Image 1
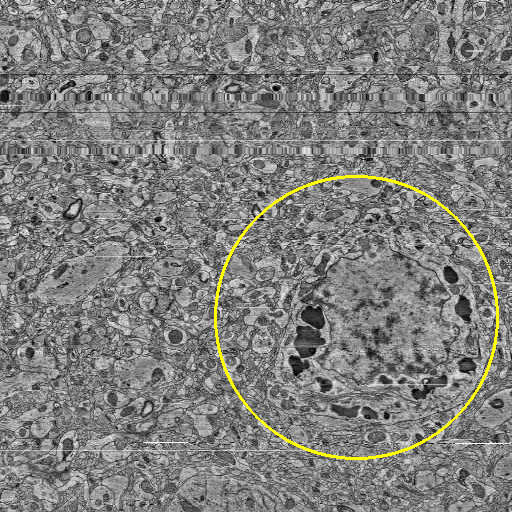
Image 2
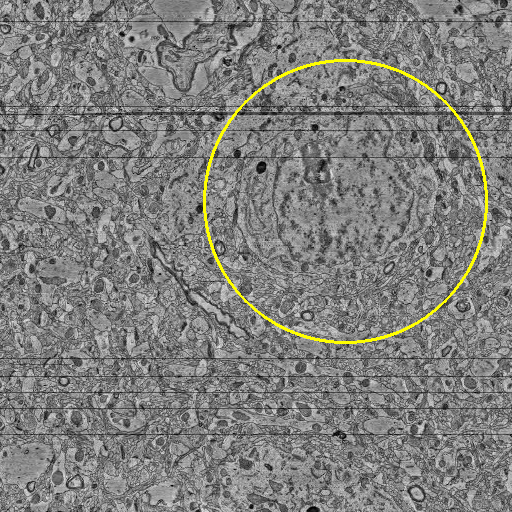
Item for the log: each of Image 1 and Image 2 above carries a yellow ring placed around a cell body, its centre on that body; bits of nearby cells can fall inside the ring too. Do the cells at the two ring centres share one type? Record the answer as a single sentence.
Yes, the two cells at the ring centres in Image 1 and Image 2 share one type.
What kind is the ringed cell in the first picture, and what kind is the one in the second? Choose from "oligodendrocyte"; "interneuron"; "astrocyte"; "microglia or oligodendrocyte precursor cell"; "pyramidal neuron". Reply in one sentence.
Both rings mark an interneuron, one in each picture.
